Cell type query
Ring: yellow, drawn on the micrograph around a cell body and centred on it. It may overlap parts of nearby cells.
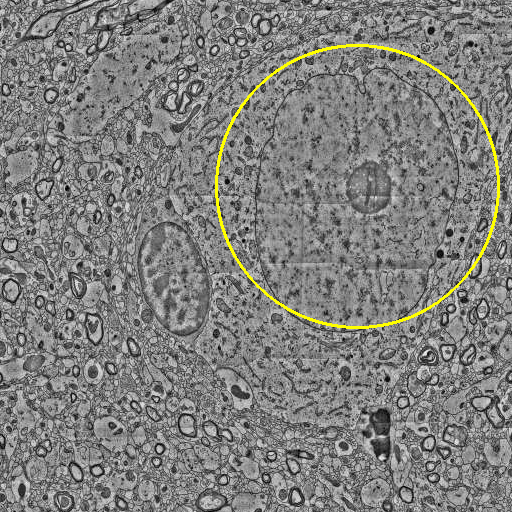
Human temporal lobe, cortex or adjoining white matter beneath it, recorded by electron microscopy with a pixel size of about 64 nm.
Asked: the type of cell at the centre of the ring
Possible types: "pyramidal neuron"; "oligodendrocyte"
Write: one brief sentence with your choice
The ring marks a pyramidal neuron.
